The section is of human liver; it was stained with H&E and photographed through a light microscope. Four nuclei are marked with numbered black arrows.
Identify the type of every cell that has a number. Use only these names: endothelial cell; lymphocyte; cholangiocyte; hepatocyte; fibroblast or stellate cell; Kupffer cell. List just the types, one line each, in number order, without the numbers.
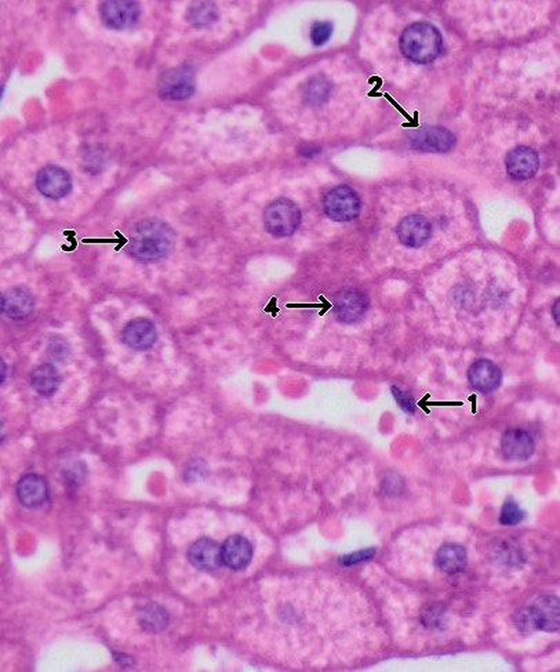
endothelial cell
Kupffer cell
hepatocyte
hepatocyte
